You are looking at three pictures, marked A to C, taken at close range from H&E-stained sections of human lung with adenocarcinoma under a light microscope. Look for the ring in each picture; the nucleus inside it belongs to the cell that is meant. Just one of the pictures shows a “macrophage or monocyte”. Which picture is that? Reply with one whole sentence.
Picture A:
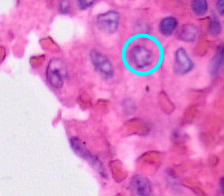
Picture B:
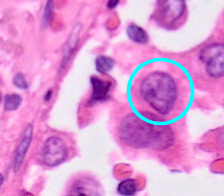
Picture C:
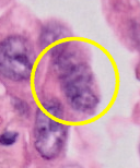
Picture A is the one that shows the “macrophage or monocyte”.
